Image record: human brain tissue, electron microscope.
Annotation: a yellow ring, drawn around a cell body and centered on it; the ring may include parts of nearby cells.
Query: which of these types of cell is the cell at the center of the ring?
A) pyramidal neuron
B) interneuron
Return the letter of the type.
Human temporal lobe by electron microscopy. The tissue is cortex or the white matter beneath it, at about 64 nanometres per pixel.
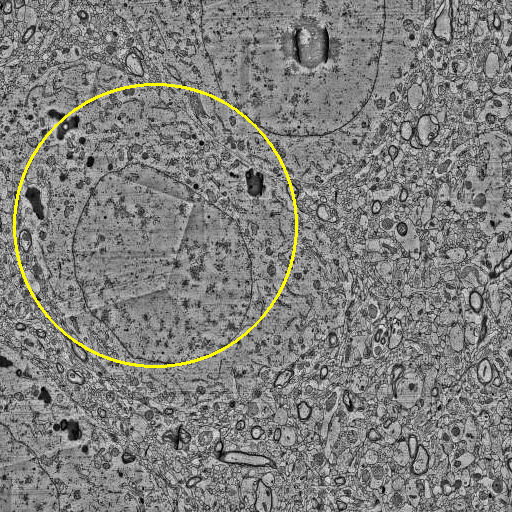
A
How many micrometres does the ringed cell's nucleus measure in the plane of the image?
Approximately 13 micrometres long and 11 micrometres wide, in this plane.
